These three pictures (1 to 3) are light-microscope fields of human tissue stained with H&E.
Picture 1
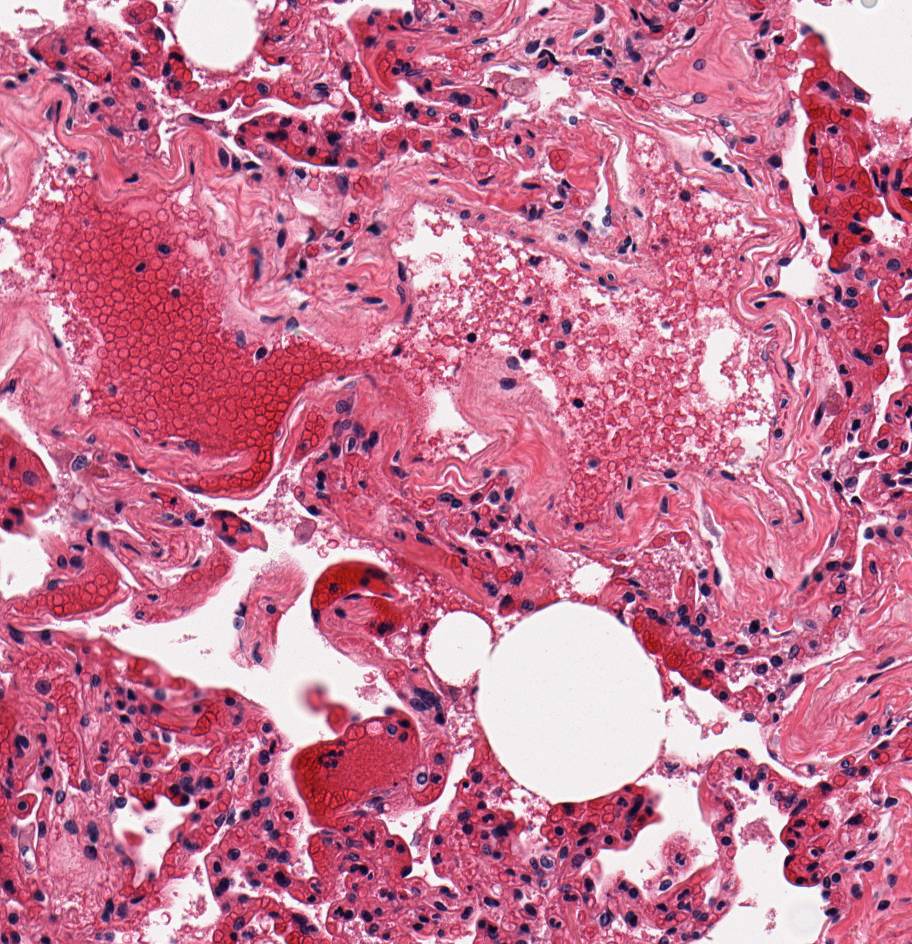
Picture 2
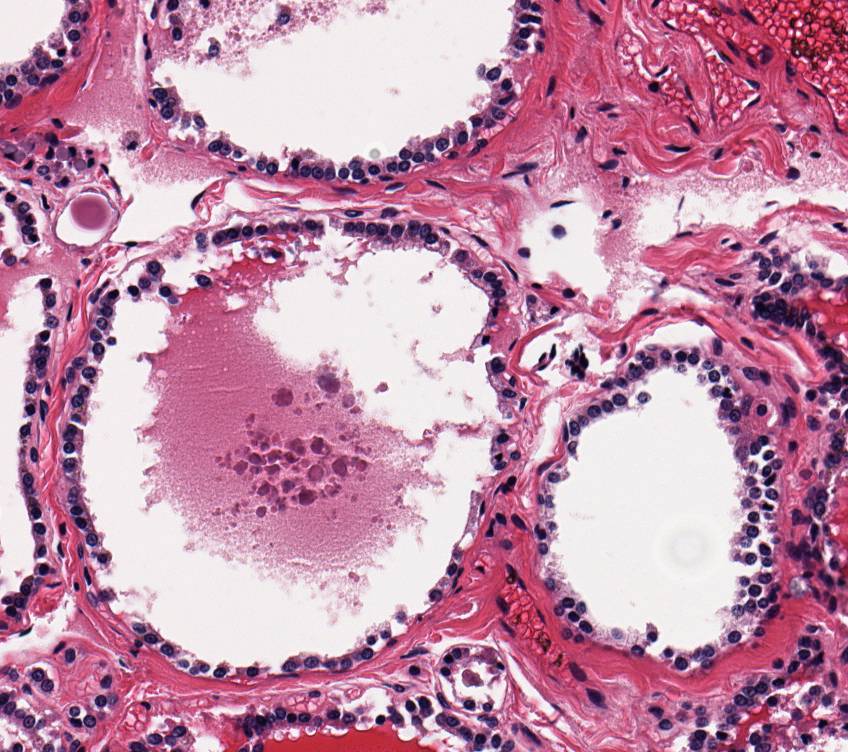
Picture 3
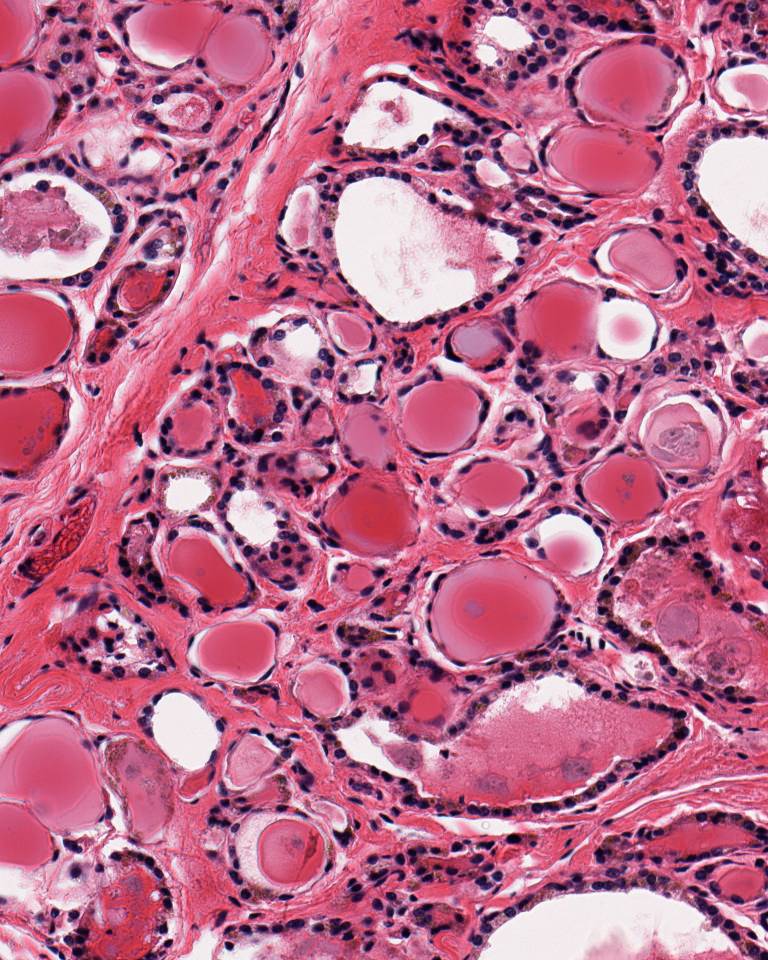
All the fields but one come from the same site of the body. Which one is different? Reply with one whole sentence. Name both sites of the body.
Unlike the rest, which come from the thyroid, picture 1 comes from the lung.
